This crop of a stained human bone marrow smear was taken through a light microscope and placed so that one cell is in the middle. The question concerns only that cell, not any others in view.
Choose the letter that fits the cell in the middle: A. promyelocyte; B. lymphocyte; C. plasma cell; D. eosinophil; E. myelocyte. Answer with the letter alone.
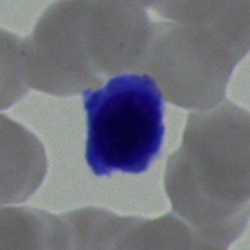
B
